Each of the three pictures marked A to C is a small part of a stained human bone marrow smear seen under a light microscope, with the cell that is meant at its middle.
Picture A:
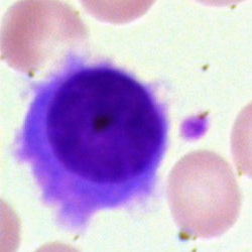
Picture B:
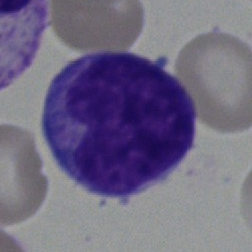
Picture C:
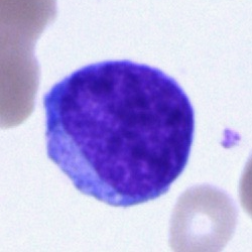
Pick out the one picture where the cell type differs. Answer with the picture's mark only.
A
